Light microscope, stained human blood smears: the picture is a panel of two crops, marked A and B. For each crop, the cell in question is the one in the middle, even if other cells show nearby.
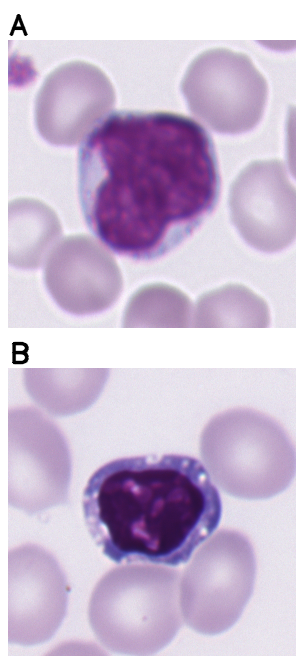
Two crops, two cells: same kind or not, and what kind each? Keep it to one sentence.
Yes, both of the crops show large granular lymphocytes.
